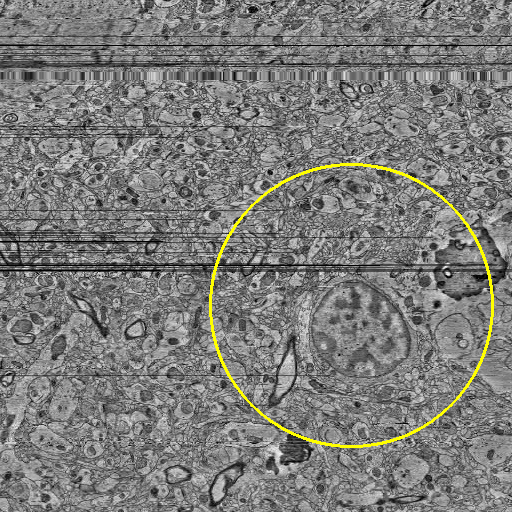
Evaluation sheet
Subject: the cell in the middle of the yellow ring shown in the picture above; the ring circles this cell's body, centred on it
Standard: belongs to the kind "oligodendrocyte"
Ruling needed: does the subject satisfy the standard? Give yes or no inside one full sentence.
Yes, the cell in the middle of the ring in the picture above belongs to the stated kind.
